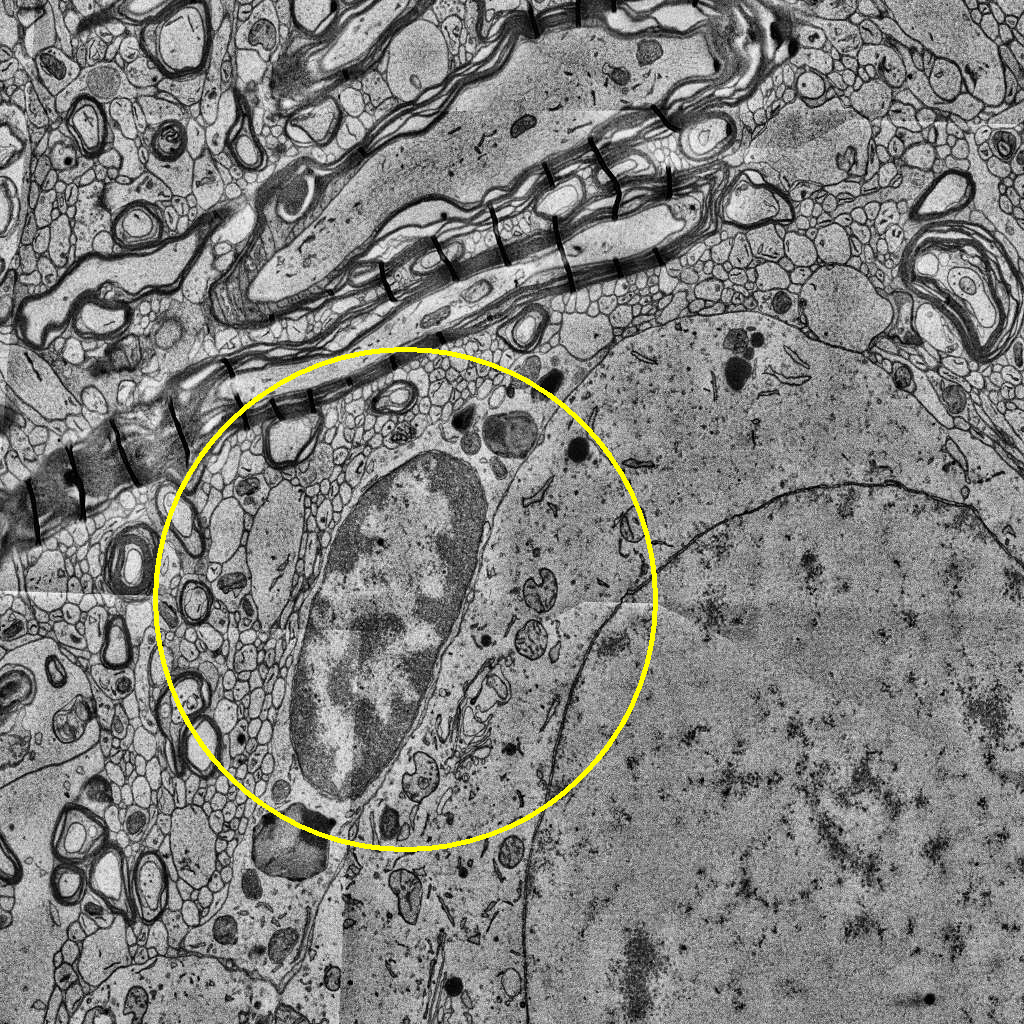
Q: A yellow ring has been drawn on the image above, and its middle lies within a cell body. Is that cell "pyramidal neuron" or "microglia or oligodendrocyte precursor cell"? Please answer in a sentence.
The ring's middle lies in the cell body of a microglial cell or oligodendrocyte precursor cell.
